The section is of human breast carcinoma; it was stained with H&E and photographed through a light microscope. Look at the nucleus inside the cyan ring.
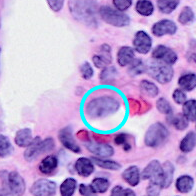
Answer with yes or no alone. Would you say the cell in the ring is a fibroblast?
no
